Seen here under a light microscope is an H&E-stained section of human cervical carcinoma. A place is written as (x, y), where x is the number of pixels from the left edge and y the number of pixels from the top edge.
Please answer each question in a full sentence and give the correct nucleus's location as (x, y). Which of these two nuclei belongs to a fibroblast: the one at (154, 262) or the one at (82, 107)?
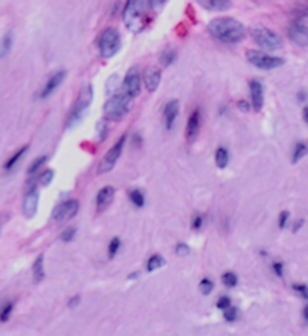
The nucleus of a fibroblast lies at (154, 262), not at the other position.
